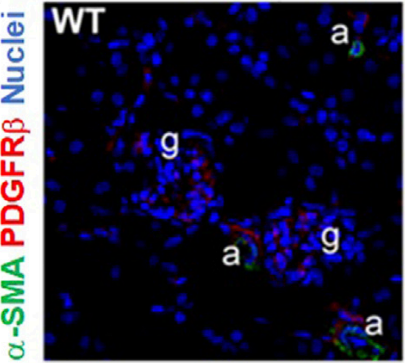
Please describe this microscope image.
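This kidney cortex contains two glomeruli, seen as round clusters of packed blue nuclei with only faint red staining inside them. Small arterioles beside them show green rings with some red in their walls. The tubules around are outlined only by their nuclei, with the spaces between them largely dark.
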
